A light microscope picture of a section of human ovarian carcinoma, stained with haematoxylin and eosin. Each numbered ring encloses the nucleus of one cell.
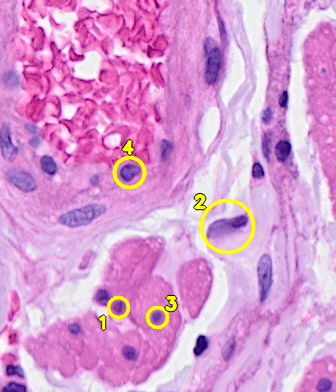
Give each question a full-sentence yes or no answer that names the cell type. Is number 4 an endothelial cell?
Yes, the cell at number 4 is an endothelial cell.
